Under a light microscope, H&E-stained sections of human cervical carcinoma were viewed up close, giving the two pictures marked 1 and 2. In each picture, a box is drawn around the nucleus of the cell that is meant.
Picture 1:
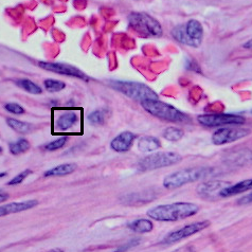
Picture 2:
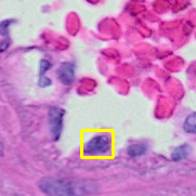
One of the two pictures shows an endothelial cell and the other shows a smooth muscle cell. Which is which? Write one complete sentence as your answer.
It is picture 1 that shows a smooth muscle cell, and picture 2 that shows an endothelial cell.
